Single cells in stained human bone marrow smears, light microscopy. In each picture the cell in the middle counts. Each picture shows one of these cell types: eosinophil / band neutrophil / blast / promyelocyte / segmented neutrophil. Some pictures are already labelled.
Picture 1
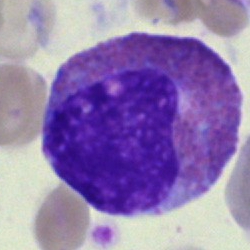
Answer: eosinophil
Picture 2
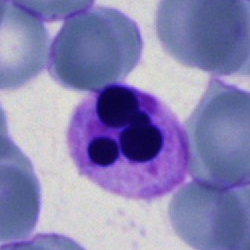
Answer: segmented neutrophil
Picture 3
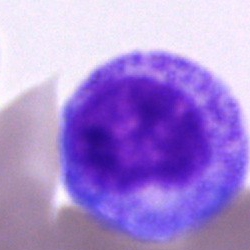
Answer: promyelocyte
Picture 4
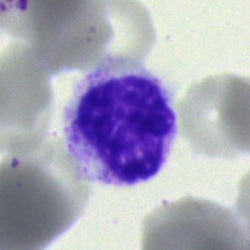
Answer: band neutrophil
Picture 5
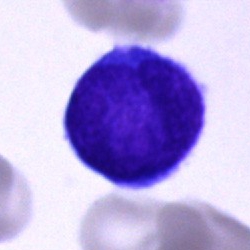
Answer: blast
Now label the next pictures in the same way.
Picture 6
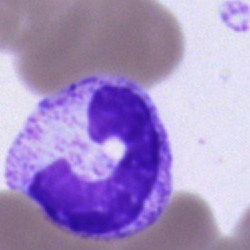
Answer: band neutrophil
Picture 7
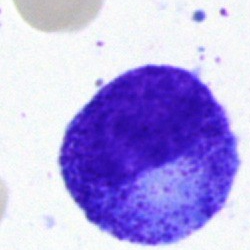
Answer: promyelocyte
